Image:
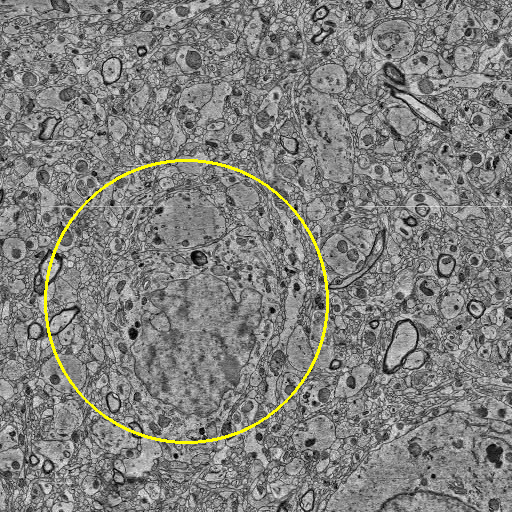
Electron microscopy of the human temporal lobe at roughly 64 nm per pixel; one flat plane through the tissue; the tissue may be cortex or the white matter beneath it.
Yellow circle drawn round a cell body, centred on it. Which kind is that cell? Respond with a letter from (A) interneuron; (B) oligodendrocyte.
A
